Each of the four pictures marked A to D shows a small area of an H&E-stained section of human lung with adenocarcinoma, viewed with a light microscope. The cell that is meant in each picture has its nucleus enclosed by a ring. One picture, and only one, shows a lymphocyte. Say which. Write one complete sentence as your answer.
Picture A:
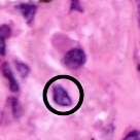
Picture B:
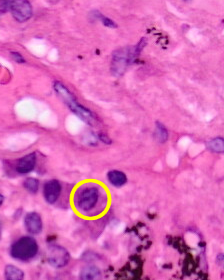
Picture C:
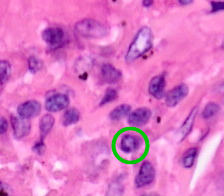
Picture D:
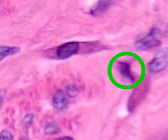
The lymphocyte is the one in picture A.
